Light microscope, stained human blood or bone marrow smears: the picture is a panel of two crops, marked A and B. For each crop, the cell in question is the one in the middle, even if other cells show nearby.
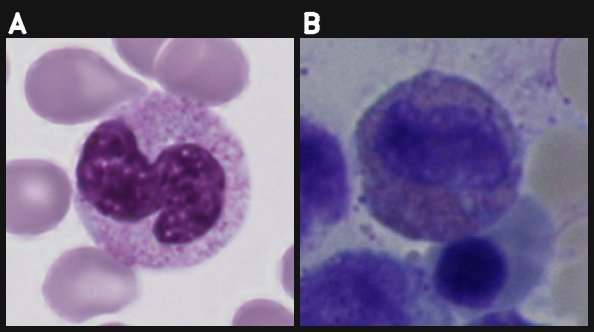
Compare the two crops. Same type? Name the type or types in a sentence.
No, crop A displays a band neutrophil, and crop B displays an eosinophil.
